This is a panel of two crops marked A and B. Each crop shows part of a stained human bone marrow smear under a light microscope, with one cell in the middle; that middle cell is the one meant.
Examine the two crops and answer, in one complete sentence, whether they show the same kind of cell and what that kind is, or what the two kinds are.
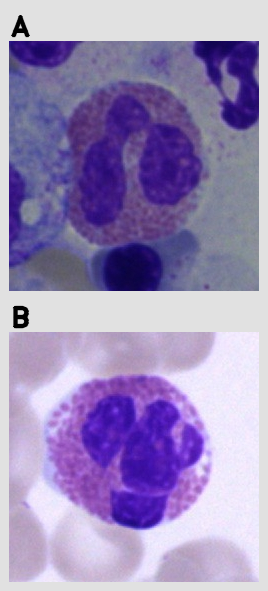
Yes, the central cells in both crops are eosinophils.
